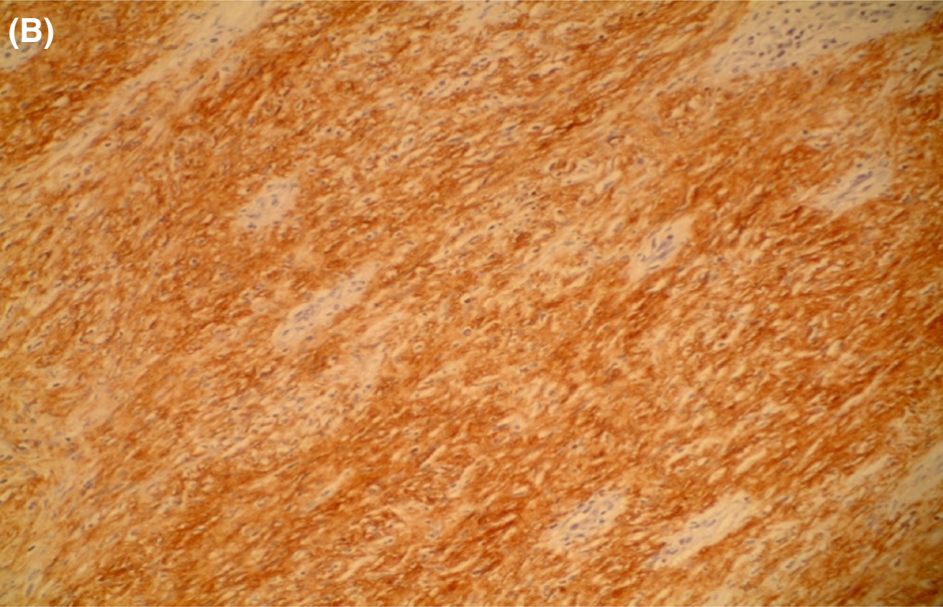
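This is a spindle cell tumor in which most of the tissue is stained strongly brown. The brown staining is diffuse and fills the fibrillary cytoplasm of the tumor cells throughout the field. The stained tissue runs in long streaming bundles oriented diagonally across the section. Scattered small pale areas are left unstained and contain a few blue nuclei. The pale counterstained nuclei of the tumor cells can be made out within the brown areas.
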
